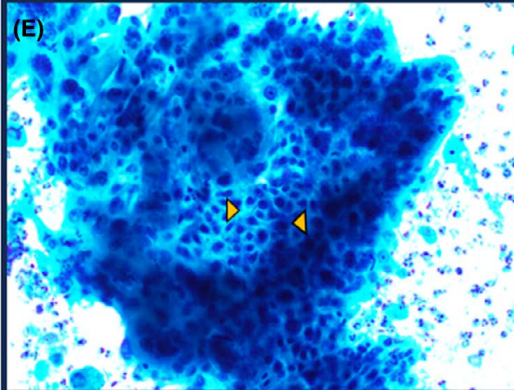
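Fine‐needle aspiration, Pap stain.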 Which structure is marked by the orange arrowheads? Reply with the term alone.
Intercellular bridges.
